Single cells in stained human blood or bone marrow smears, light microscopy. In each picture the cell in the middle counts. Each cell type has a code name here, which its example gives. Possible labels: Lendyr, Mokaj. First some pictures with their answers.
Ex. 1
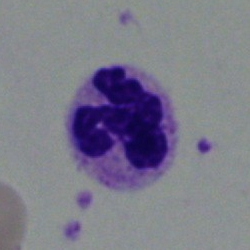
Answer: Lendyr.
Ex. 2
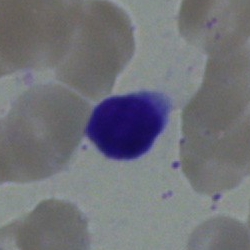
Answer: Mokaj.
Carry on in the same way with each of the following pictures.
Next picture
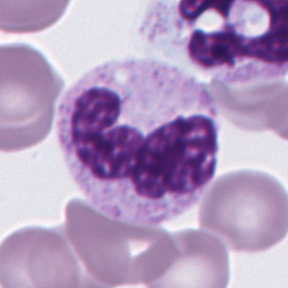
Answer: Lendyr.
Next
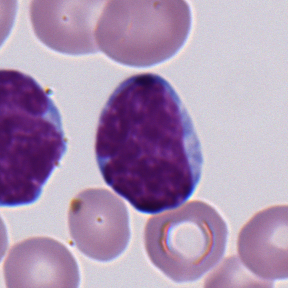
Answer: Mokaj.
